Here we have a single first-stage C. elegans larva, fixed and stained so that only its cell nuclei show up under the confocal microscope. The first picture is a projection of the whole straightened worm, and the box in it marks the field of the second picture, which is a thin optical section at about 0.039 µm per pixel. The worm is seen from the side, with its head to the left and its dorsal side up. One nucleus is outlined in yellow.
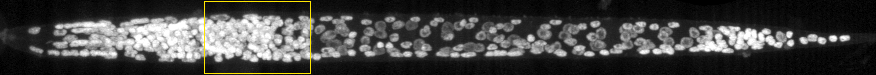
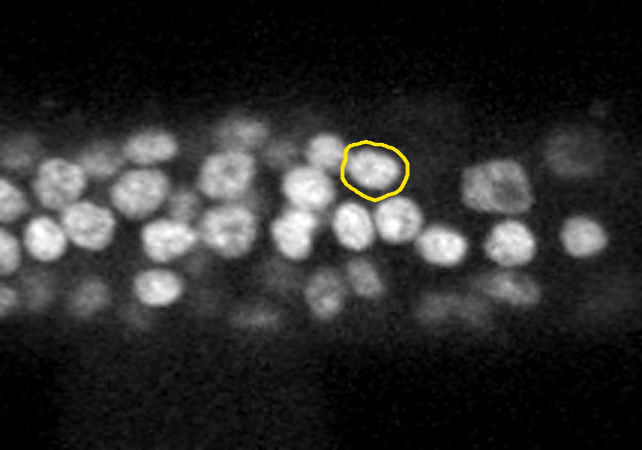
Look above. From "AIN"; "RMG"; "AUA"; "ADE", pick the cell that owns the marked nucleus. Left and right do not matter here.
AIN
